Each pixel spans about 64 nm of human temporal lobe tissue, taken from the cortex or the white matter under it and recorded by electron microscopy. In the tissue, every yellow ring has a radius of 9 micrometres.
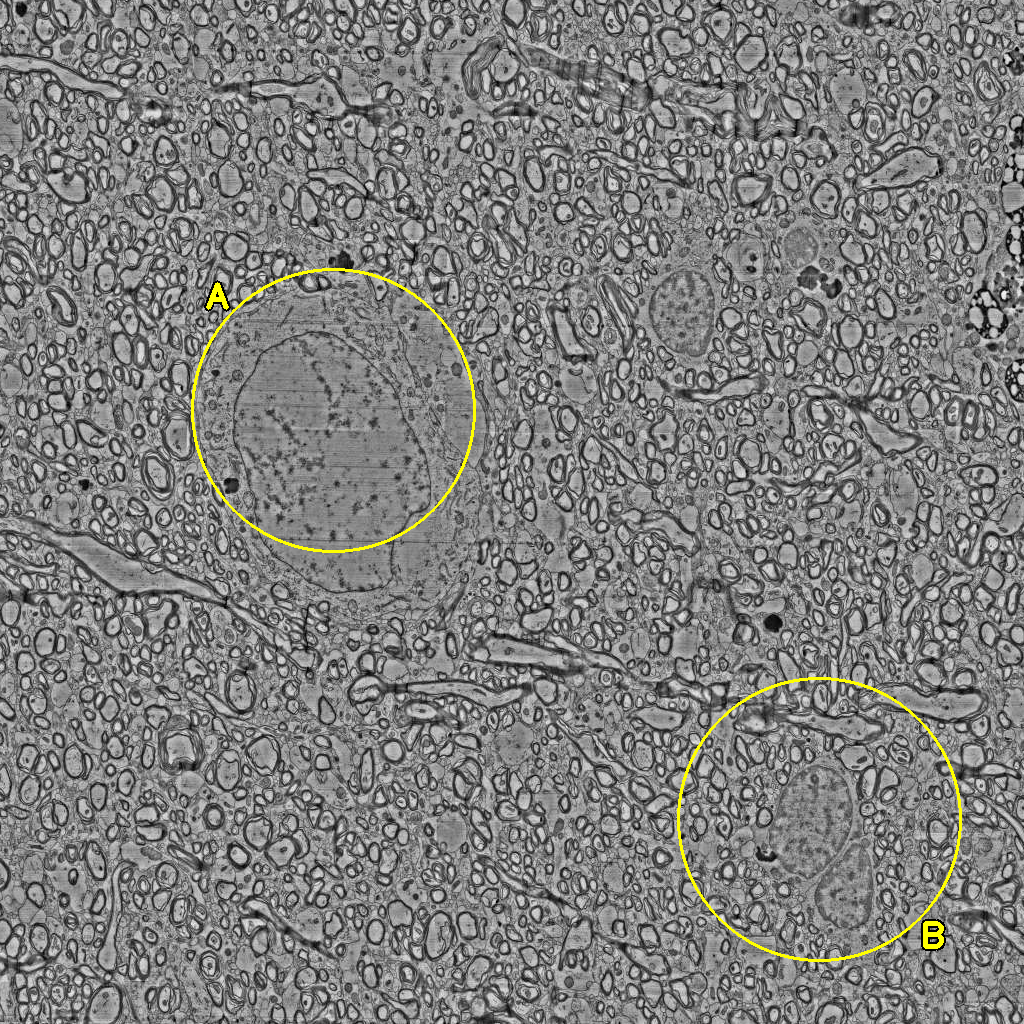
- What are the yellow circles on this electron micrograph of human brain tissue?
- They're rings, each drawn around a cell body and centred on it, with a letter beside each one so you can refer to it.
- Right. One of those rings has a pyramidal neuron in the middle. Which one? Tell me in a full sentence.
It's ring A.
